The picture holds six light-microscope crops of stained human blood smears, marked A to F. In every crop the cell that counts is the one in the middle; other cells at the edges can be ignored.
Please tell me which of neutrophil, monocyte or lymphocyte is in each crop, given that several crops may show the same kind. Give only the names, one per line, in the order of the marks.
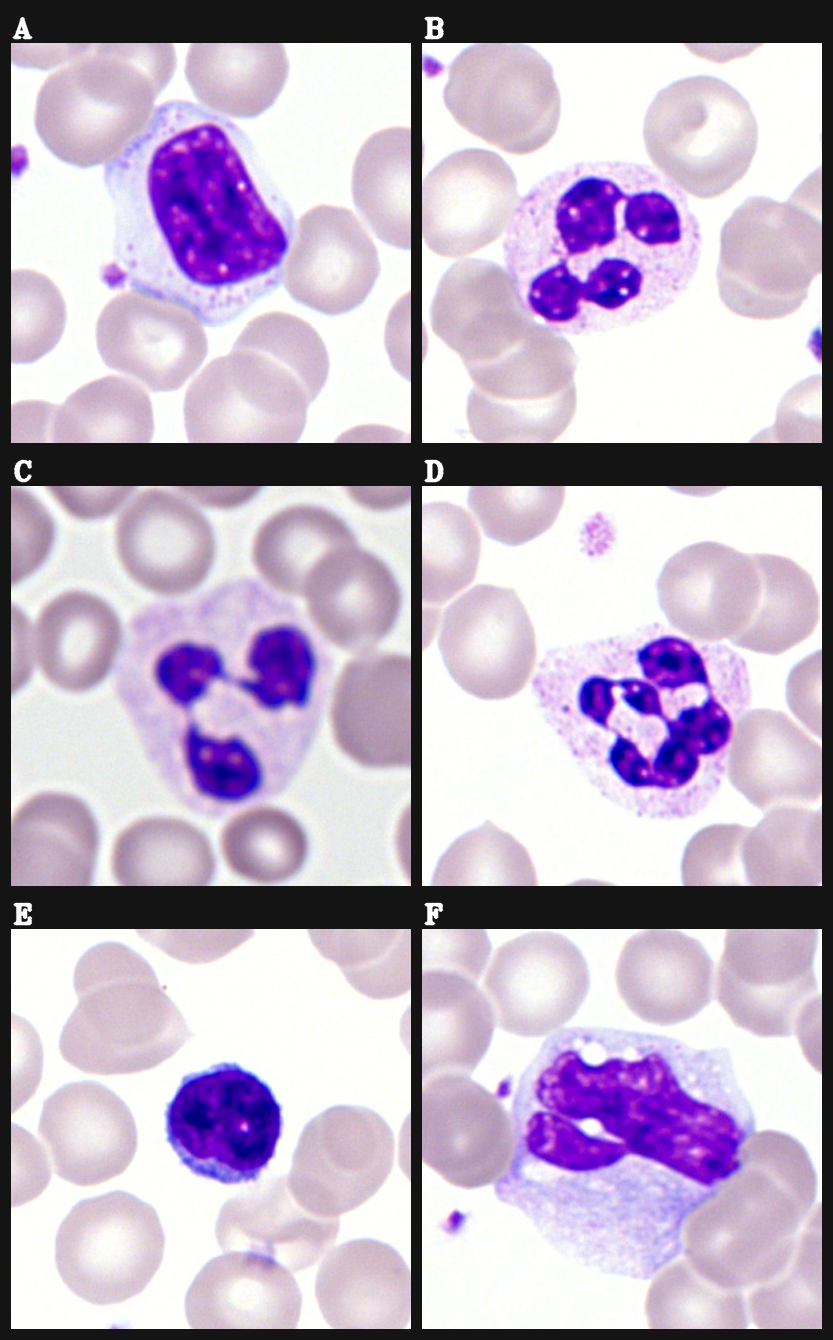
lymphocyte
neutrophil
neutrophil
neutrophil
lymphocyte
monocyte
